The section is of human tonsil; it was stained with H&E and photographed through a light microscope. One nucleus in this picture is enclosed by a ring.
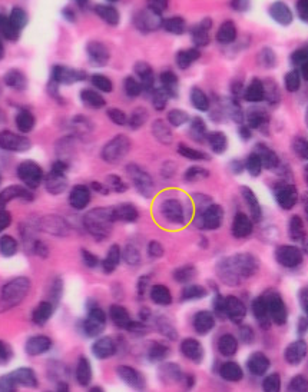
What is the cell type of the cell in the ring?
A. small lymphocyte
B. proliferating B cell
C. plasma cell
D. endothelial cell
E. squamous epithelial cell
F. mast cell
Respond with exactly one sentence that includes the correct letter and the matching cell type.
Here the correct option is D, since the cell in the ring is an endothelial cell.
